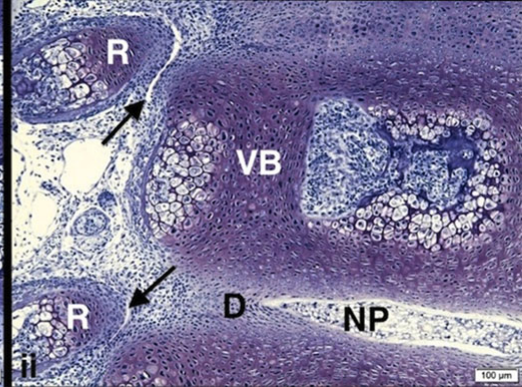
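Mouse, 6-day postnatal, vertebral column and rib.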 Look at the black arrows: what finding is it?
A: Interzone resorption (cavitation)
